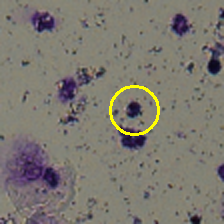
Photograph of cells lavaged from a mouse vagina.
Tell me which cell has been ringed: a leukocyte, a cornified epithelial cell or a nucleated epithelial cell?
It is a leukocyte.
